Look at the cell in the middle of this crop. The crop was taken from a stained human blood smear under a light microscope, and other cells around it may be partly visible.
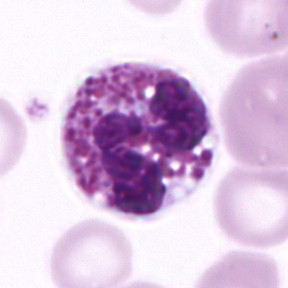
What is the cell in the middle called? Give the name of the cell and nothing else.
eosinophil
